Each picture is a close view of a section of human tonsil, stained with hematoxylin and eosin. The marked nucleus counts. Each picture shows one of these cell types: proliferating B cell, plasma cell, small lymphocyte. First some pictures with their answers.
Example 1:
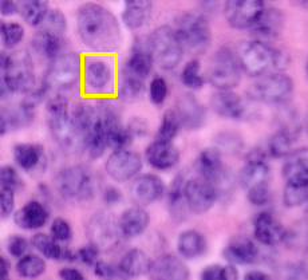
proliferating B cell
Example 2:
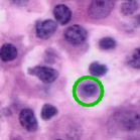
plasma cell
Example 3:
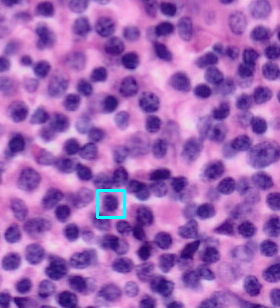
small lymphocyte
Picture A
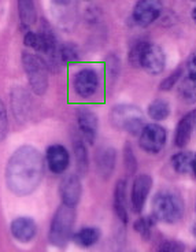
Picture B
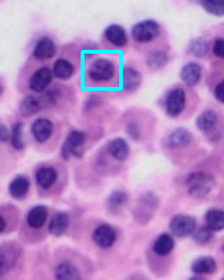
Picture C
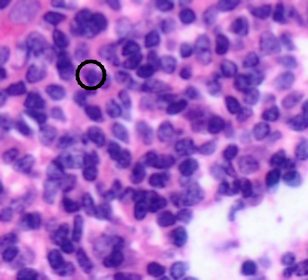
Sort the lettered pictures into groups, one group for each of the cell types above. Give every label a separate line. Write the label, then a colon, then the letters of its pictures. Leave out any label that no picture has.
plasma cell: A, B
small lymphocyte: C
